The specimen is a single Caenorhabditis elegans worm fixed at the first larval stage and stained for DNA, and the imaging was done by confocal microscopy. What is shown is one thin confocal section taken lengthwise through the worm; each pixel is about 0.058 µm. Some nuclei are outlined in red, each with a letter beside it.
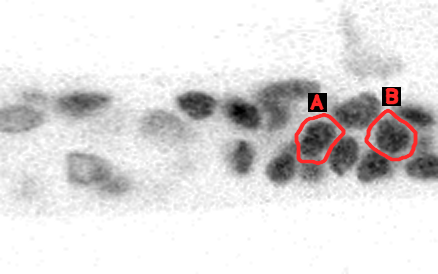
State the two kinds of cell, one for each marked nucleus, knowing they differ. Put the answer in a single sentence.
B belongs to a neuron, and A to a rectal epithelial cell.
